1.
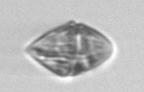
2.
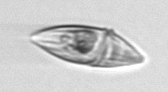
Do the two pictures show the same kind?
Yes, both are Gyrodinium.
